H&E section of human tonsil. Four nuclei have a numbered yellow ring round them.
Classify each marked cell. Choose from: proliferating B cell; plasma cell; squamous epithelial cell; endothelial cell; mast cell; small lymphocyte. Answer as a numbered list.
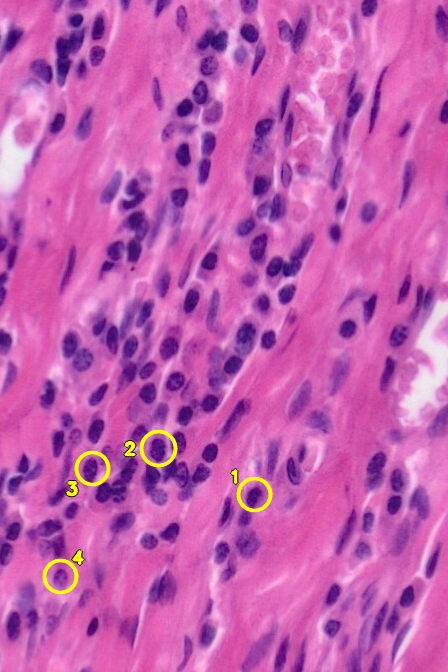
1. plasma cell
2. plasma cell
3. plasma cell
4. mast cell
